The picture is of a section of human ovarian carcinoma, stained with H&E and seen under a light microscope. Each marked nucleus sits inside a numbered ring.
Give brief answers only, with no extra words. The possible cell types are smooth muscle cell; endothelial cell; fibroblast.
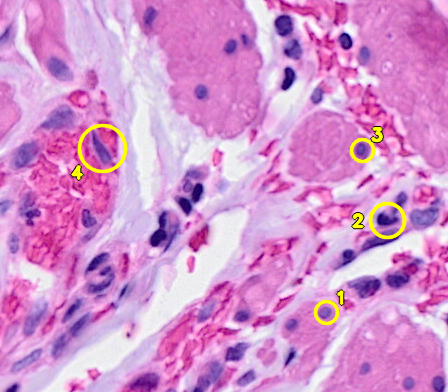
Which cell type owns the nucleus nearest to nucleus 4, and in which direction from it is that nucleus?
an endothelial cell above and to the left of nucleus 4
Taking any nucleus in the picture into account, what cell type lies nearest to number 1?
smooth muscle cell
